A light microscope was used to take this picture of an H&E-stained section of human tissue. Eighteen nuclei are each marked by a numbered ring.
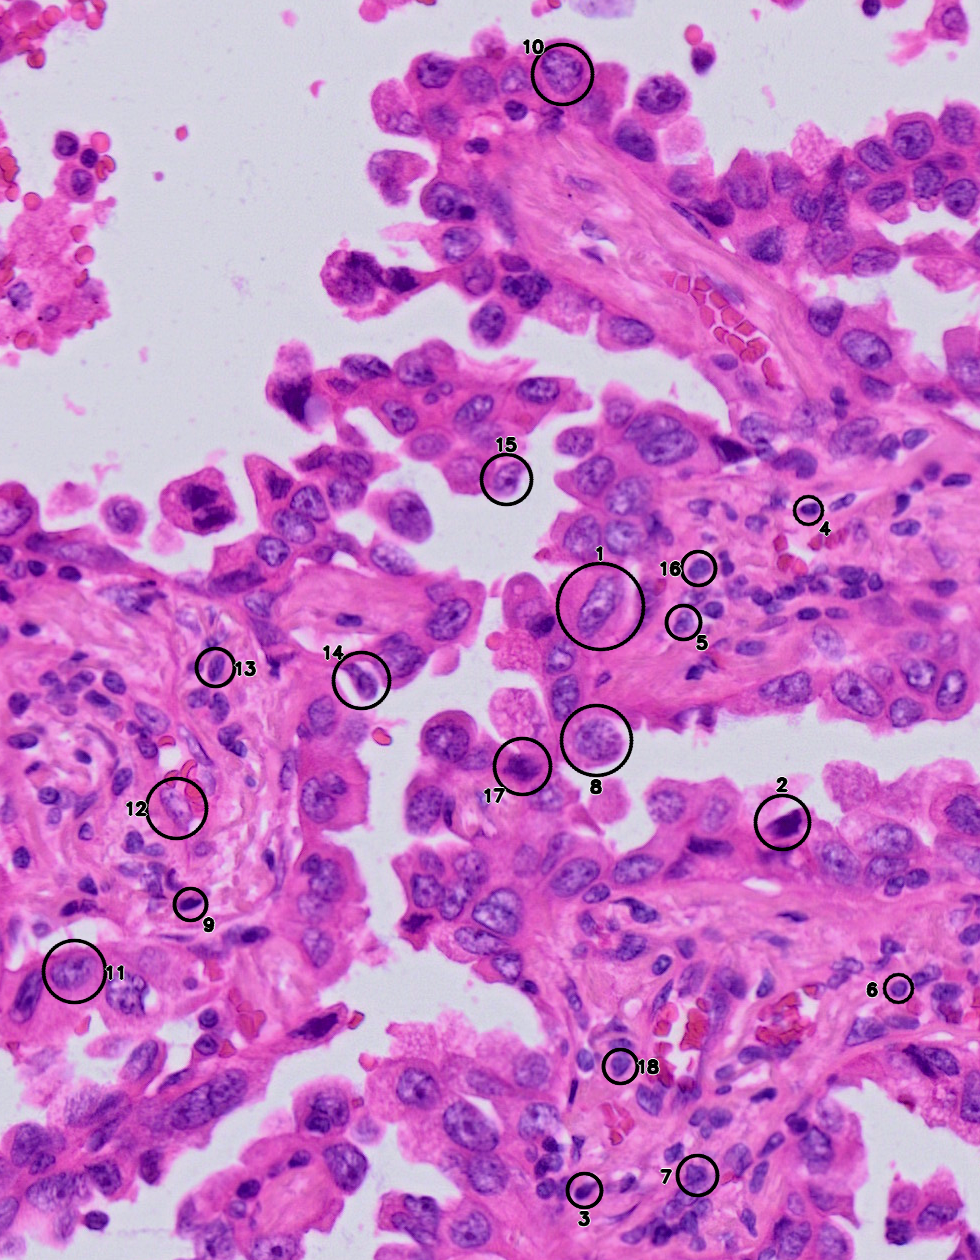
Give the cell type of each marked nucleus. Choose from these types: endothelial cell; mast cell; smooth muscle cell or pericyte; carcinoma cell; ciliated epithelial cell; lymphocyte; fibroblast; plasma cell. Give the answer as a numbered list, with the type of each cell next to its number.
1. carcinoma cell
2. carcinoma cell
3. lymphocyte
4. lymphocyte
5. lymphocyte
6. lymphocyte
7. lymphocyte
8. carcinoma cell
9. plasma cell
10. carcinoma cell
11. carcinoma cell
12. endothelial cell
13. lymphocyte
14. carcinoma cell
15. carcinoma cell
16. lymphocyte
17. carcinoma cell
18. lymphocyte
